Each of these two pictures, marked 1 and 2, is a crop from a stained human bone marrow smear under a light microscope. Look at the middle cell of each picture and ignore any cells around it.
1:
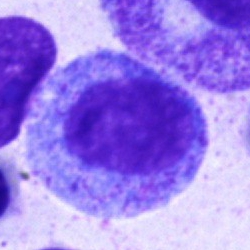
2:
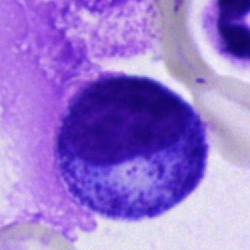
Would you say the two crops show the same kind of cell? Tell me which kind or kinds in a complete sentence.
Yes, in the case of both crops, the central cells are promyelocytes.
